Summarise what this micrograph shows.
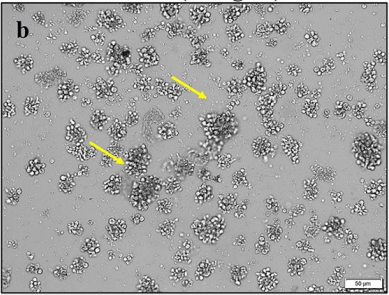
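The clumps consist of many small rounded, refractile cells packed tightly together, and they are scattered across the whole field. Few single cells lie in the spaces between the clusters. Elongated or spread cells are scarcely seen, the cells in the clumps being round.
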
